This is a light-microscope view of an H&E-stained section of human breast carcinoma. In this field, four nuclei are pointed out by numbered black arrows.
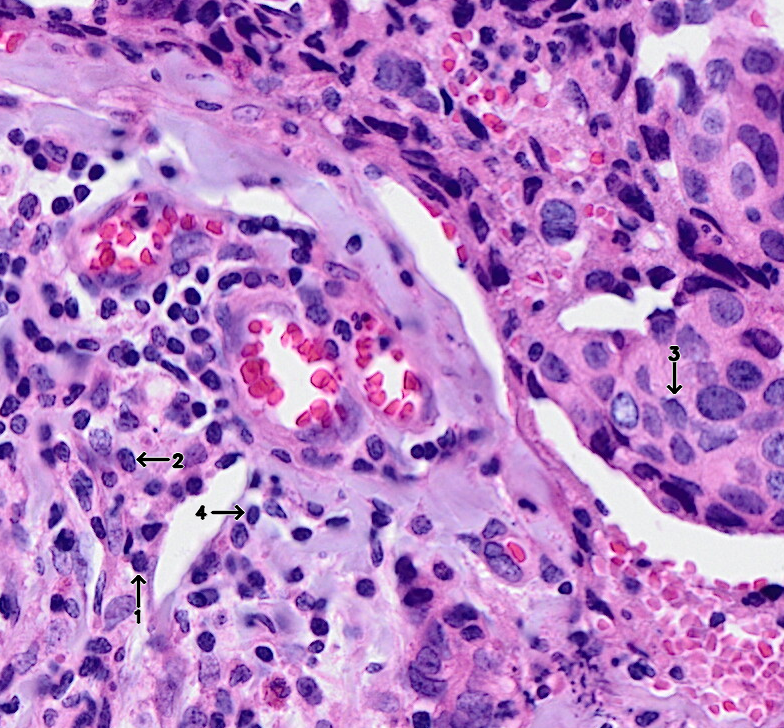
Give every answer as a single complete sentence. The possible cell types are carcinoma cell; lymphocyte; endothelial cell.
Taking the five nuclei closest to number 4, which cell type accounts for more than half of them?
Most of the five nuclei nearest to number 4 are those of lymphocytes.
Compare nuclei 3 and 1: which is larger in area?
Number 3 is larger; its area is about 2 times that of number 1.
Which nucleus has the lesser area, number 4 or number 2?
Number 4 is smaller, since number 2 takes up about 1.5 times as much area.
